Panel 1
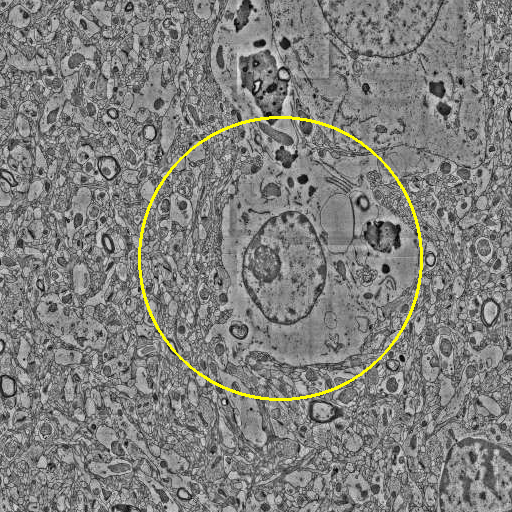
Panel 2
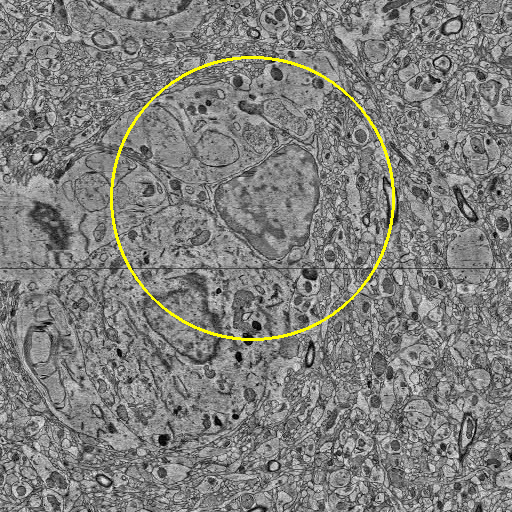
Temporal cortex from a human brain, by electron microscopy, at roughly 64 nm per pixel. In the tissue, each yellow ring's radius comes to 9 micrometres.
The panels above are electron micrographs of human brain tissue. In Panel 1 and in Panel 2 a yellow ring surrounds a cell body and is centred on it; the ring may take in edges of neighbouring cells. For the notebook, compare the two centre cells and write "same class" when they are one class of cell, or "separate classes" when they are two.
separate classes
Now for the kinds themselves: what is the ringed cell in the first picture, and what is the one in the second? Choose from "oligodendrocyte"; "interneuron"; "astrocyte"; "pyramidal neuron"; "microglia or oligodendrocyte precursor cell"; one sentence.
Here the first cell is an astrocyte and the second cell is a microglial cell or oligodendrocyte precursor cell.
